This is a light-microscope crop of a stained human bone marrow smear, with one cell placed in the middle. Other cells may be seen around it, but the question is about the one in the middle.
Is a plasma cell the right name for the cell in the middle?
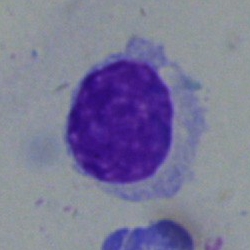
no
